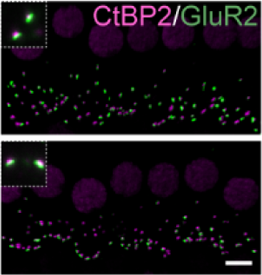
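Along the top, faint large round magenta profiles mark the cell nuclei. Below them lies a broad band of many small magenta puncta, most of which sit right beside a small green punctum. The enlarged inset in the upper corner shows such magenta and green dots touching in pairs.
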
